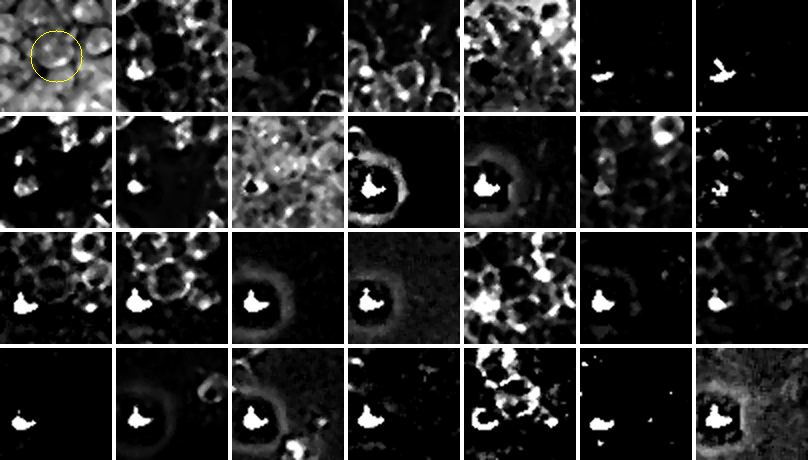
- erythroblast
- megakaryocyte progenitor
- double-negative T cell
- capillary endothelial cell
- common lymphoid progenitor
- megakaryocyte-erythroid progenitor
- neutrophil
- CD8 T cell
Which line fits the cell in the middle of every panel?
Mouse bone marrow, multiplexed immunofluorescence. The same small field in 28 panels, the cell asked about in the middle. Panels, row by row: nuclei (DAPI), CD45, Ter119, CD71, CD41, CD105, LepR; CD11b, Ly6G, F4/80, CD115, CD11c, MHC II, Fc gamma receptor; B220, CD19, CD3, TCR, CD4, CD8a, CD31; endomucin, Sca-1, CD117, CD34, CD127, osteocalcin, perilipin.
common lymphoid progenitor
